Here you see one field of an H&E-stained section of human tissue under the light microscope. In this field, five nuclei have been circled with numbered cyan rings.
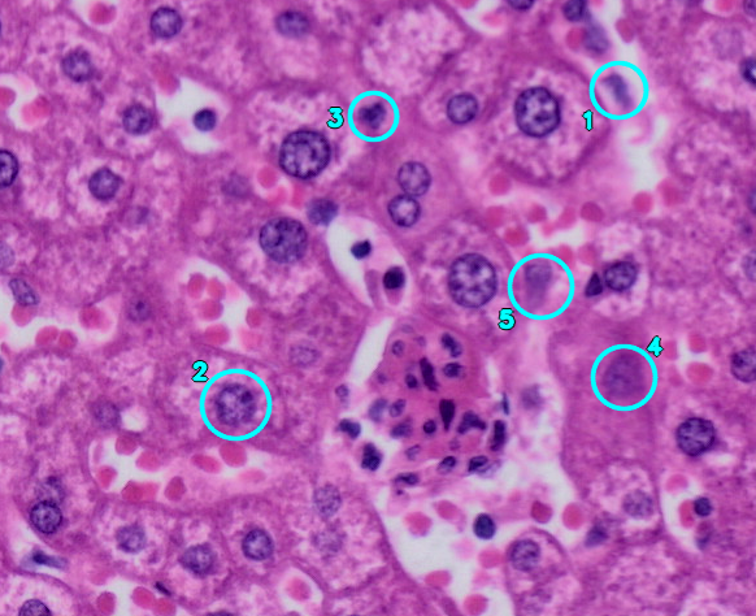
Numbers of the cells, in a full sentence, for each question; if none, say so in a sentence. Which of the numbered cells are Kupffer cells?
The numbers 1 and 5 refer to cells that are Kupffer cells.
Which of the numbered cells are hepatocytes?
The cells picked out by numbers 2 and 4 are hepatocytes.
